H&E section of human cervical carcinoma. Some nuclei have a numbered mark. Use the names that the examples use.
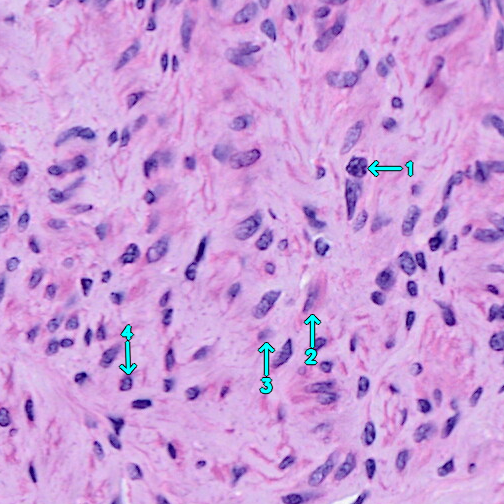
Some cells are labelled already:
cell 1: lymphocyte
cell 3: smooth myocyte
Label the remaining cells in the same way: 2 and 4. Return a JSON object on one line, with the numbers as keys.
{"2": "smooth myocyte", "4": "smooth myocyte"}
